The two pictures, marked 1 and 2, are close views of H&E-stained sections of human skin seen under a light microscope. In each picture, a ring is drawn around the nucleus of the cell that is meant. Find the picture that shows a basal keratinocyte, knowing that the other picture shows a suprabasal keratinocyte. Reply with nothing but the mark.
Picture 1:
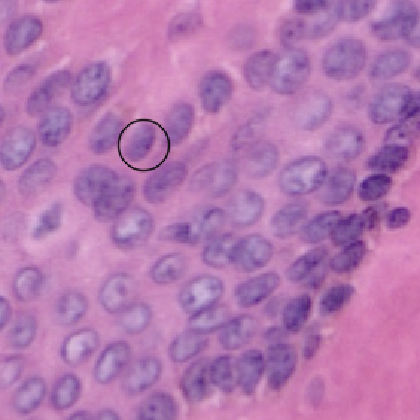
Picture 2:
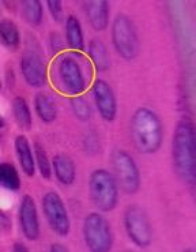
1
